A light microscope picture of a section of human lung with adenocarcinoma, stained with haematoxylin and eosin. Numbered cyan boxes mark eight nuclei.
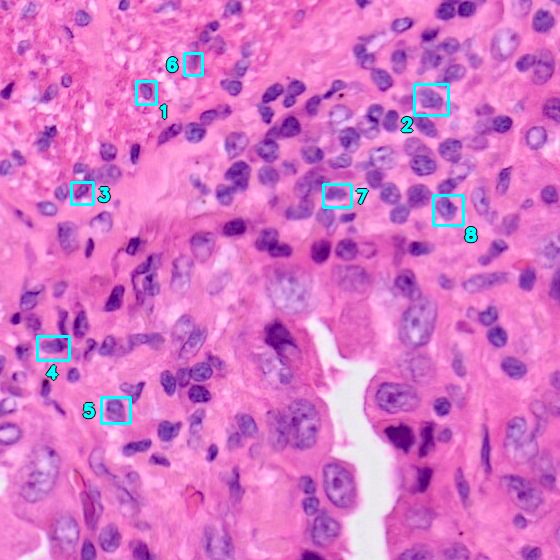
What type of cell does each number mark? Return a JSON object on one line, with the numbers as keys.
{"1": "smooth muscle cell or pericyte", "2": "lymphocyte", "3": "smooth muscle cell or pericyte", "4": "lymphocyte", "5": "lymphocyte", "6": "smooth muscle cell or pericyte", "7": "lymphocyte", "8": "lymphocyte"}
